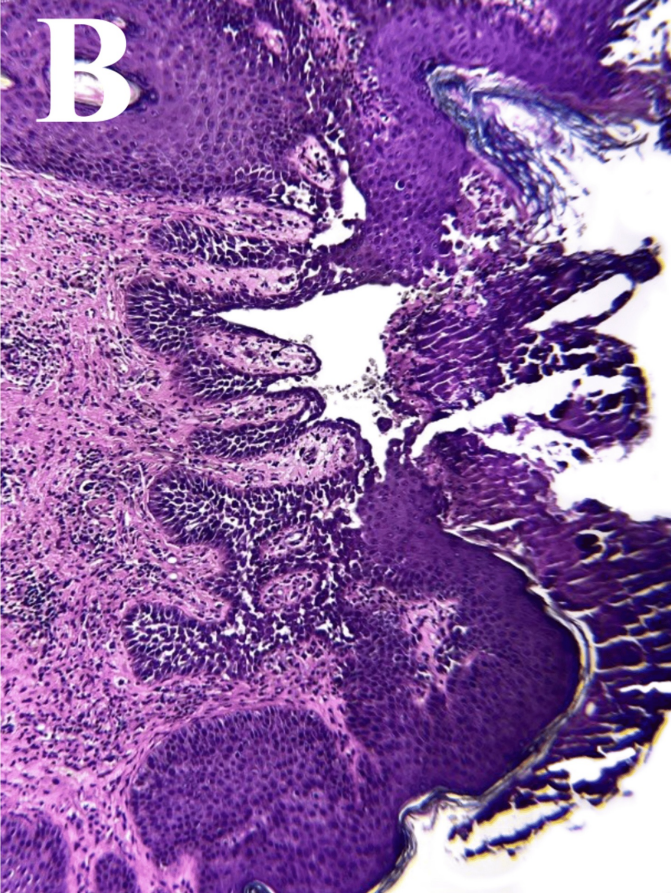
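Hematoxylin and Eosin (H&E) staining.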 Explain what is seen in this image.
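The image shows skin epidermis in which the keratinocytes have separated from one another, forming intraepidermal vesicles with a dilapidated brick appearance. Above the basal layer the cells lie loosely, with clear gaps between neighbouring cells, yet they still cling together in partly coherent sheets. Slender papillae of pink dermis, each covered by a single row of dark basal cells, project like villi into the open clefts. The overlying epidermis is thickened and stained deep purple, and compact layered keratin lies on its surface. The dermis to the left is pink and fibrous and holds many small dark nuclei of scattered inflammatory cells.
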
